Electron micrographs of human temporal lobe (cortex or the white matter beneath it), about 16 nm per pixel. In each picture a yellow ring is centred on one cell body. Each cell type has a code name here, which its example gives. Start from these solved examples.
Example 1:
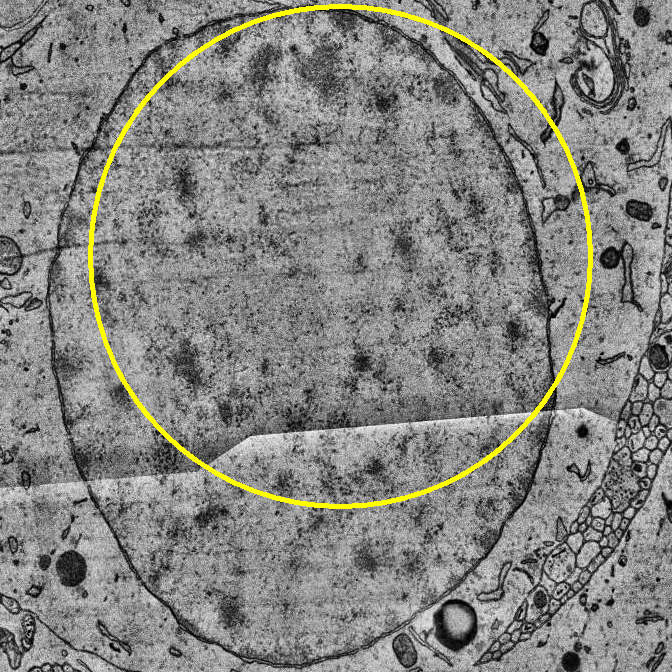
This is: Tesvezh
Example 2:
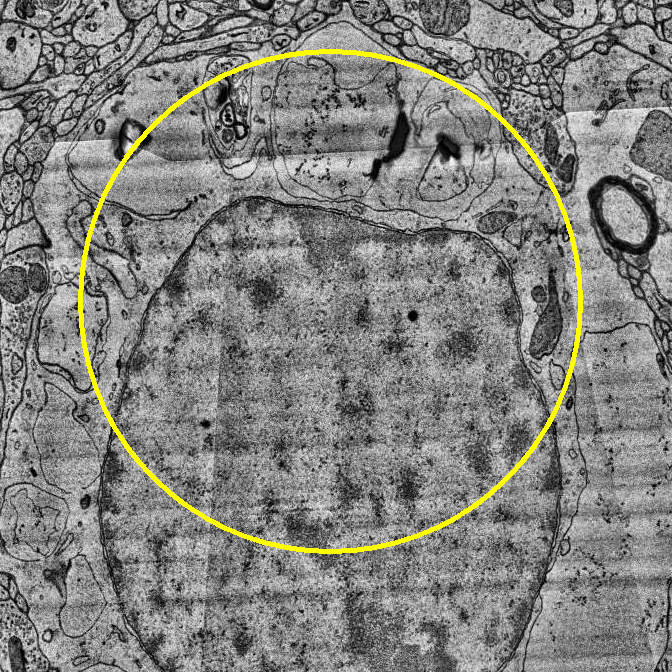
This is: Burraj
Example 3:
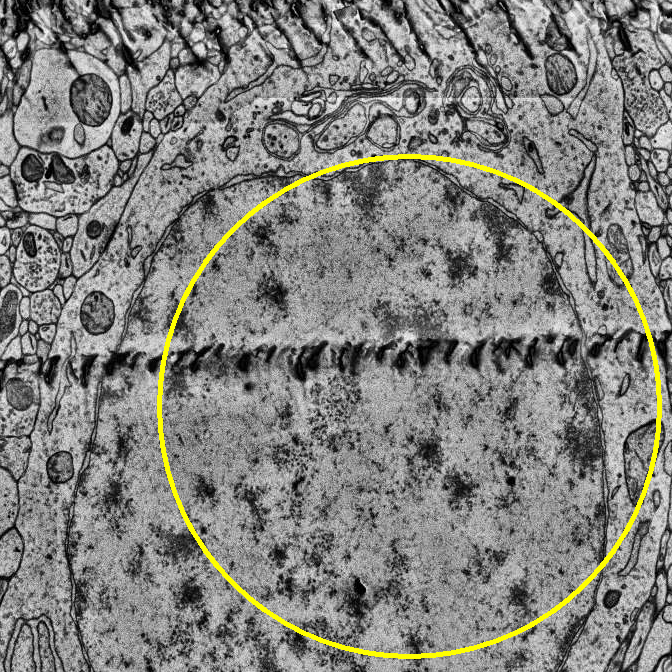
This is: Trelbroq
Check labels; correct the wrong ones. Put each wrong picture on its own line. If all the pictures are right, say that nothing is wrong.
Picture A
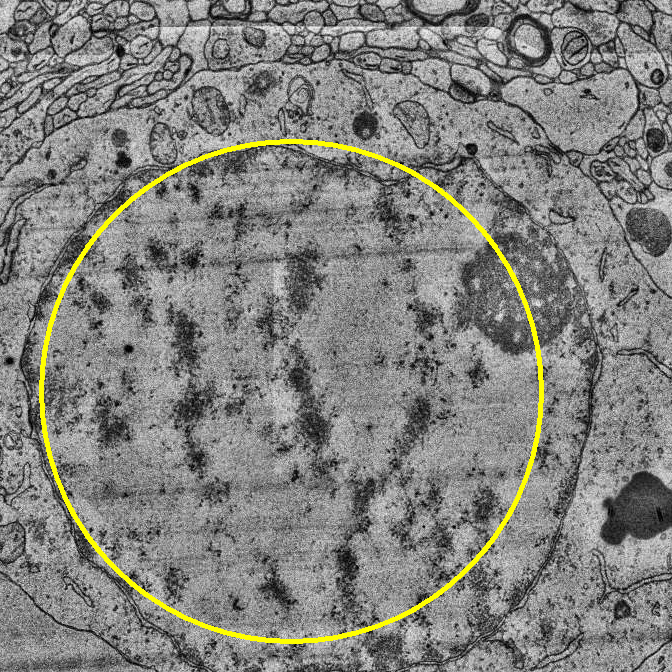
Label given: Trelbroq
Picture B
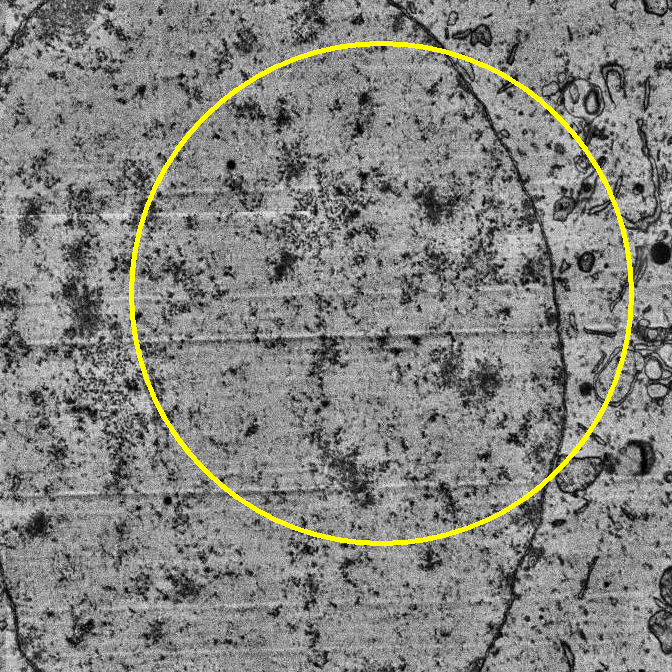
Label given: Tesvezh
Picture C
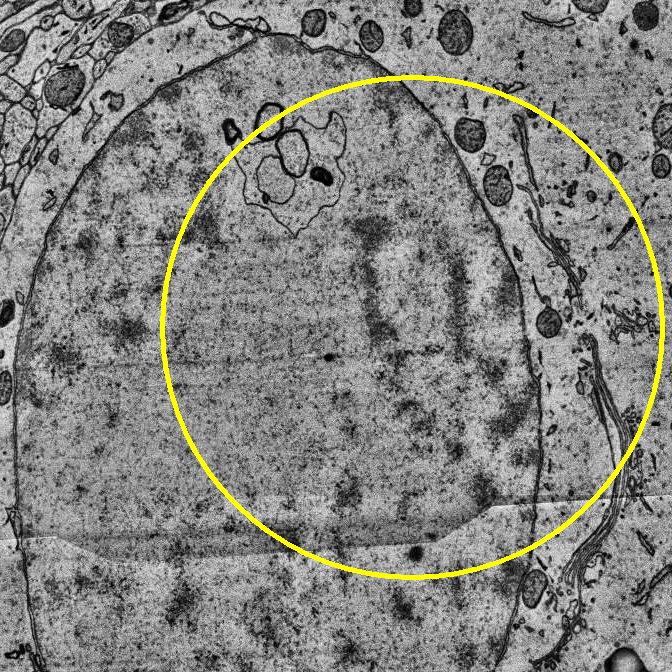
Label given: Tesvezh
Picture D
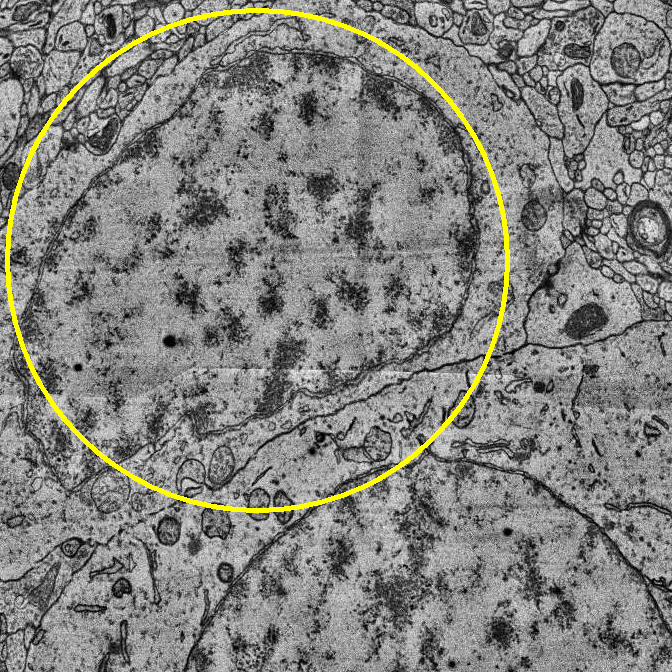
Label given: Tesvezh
D: Trelbroq, not Tesvezh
